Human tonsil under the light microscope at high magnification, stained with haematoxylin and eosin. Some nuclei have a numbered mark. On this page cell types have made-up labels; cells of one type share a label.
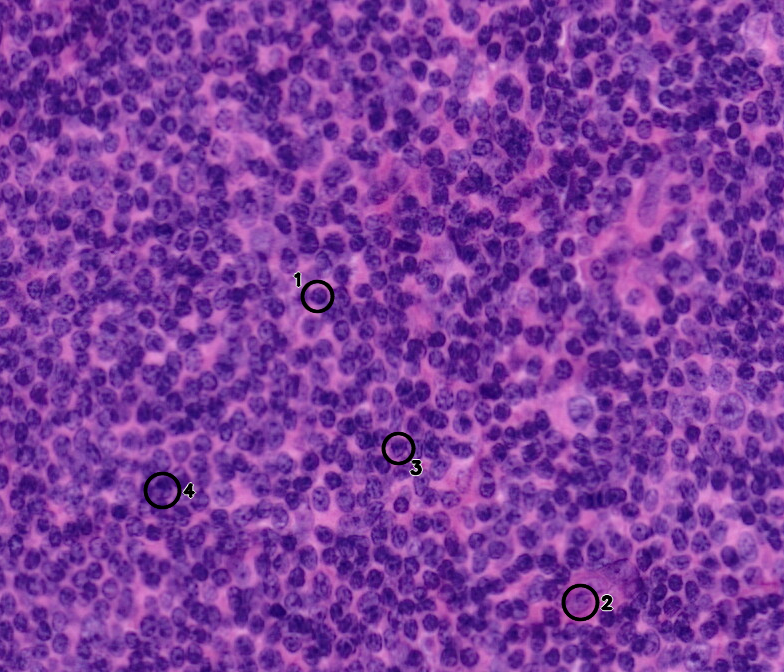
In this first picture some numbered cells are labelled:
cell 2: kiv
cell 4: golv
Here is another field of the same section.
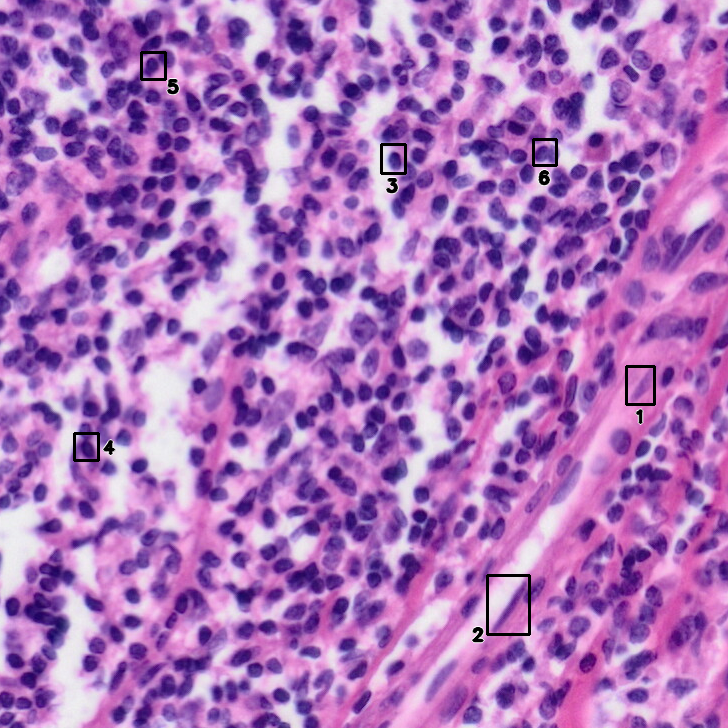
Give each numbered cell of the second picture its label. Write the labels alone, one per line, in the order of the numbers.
kiv
kiv
golv
golv
golv
golv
